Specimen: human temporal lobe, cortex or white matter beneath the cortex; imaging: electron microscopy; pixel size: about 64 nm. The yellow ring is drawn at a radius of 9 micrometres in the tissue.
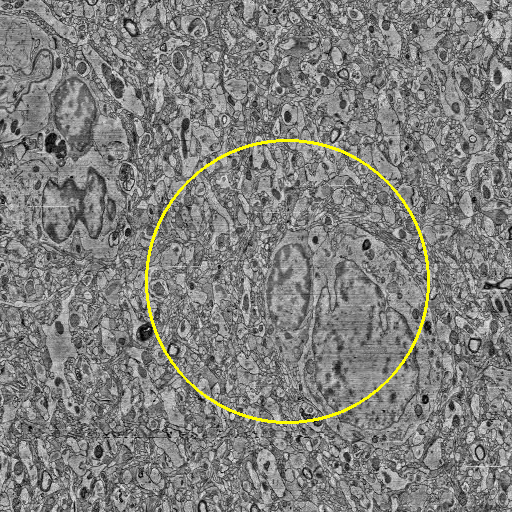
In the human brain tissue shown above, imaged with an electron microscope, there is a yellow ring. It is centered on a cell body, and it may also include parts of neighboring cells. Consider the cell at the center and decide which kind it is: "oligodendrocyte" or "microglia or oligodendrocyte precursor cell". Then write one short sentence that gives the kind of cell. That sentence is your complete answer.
This centered cell body is that of an oligodendrocyte.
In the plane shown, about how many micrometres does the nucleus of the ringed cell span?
The nucleus appears roughly 6 by 3 micrometres in this plane.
